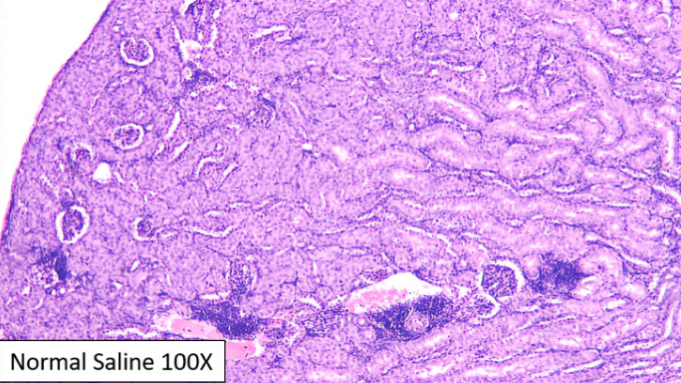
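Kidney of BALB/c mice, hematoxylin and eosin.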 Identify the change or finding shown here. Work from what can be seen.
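Several dense dark purple clusters of small round nuclei lie between the tubules. The clusters gather around a blood vessel containing pink erythrocytes. The clusters lie outside the glomeruli and tubules.
Hence: interstitial infiltration.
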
